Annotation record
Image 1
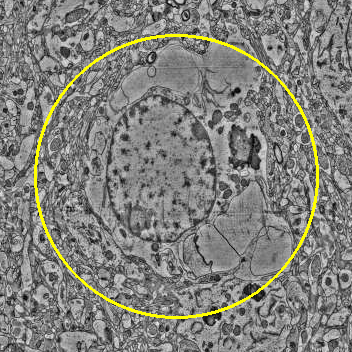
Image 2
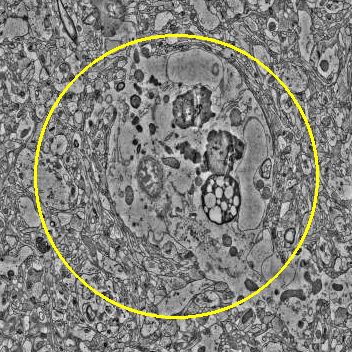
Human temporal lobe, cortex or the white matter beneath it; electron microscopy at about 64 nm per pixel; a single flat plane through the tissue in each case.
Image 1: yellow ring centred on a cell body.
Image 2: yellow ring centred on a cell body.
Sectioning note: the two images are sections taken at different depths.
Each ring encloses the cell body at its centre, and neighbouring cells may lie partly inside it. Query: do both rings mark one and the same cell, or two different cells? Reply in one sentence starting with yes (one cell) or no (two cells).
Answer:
Yes, a single cell is the subject of both yellow rings.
